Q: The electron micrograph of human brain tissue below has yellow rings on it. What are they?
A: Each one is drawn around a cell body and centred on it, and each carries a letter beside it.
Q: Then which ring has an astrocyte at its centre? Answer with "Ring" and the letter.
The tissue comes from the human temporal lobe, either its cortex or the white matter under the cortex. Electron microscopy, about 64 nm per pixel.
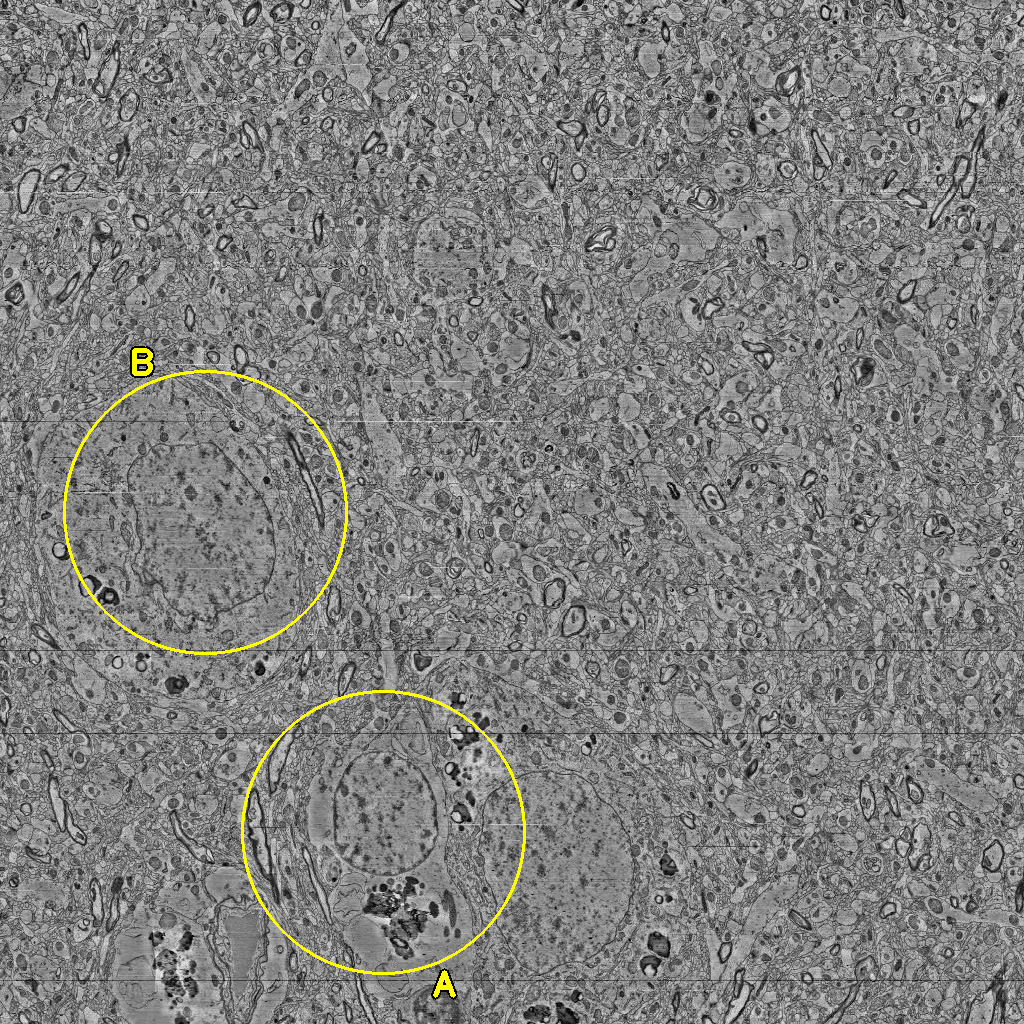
Ring A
